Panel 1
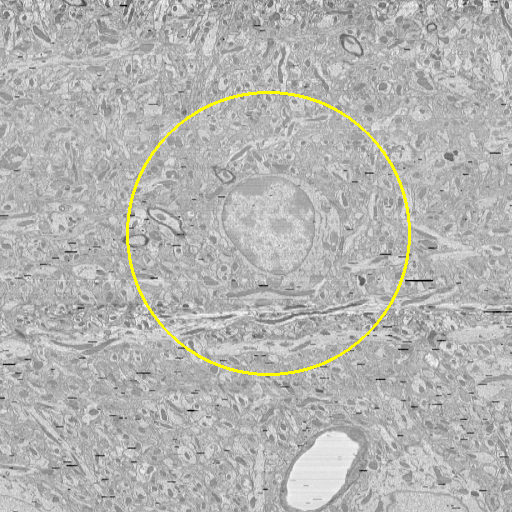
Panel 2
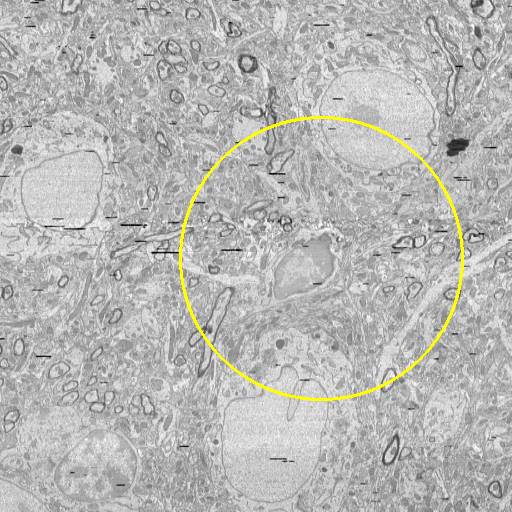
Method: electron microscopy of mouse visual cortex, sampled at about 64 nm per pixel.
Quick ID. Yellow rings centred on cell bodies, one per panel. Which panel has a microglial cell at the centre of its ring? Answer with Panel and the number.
Panel 2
